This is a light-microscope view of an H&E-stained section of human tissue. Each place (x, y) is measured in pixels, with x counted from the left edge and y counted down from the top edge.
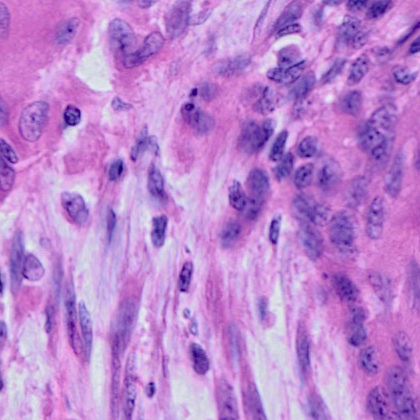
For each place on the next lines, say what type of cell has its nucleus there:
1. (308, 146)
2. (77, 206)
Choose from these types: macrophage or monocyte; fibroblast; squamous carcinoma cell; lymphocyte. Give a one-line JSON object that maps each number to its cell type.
{"1": "squamous carcinoma cell", "2": "macrophage or monocyte"}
